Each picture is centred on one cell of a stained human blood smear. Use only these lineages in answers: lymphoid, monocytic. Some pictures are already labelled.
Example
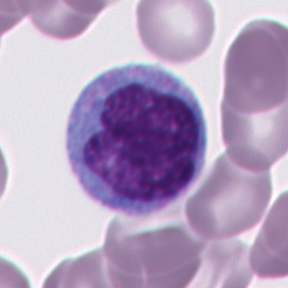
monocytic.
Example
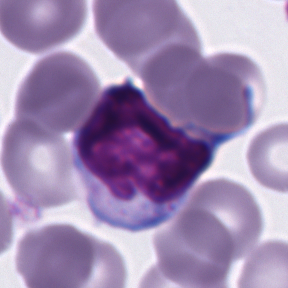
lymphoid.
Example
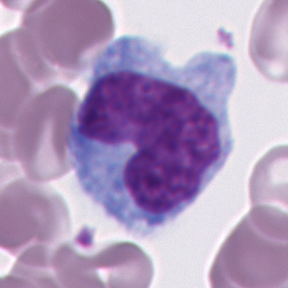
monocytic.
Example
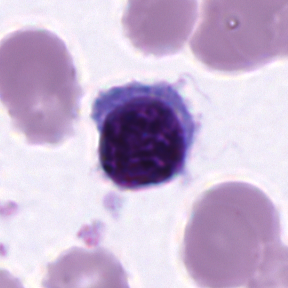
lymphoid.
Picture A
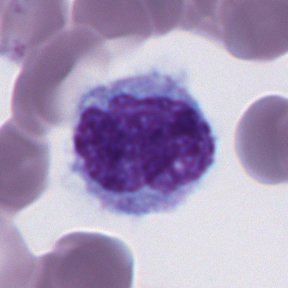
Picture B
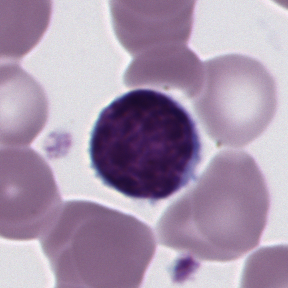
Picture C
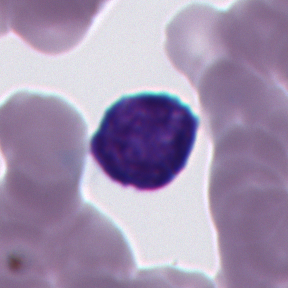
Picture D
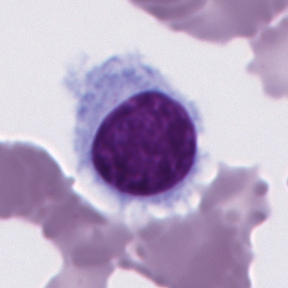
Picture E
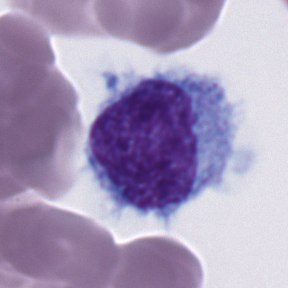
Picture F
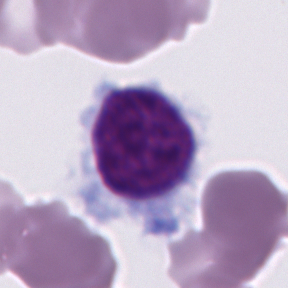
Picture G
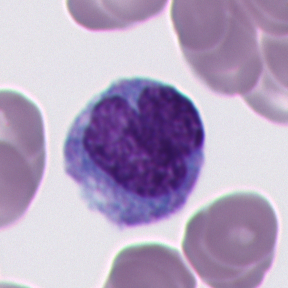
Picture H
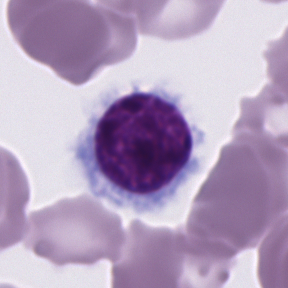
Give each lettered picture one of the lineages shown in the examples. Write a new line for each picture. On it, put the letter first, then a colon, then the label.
A: monocytic.
B: lymphoid.
C: lymphoid.
D: lymphoid.
E: monocytic.
F: lymphoid.
G: monocytic.
H: lymphoid.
